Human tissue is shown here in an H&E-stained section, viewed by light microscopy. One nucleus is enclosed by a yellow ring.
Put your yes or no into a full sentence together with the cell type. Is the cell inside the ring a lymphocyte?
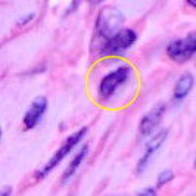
Yes, in terms of cell type, the cell inside the ring is a lymphocyte.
